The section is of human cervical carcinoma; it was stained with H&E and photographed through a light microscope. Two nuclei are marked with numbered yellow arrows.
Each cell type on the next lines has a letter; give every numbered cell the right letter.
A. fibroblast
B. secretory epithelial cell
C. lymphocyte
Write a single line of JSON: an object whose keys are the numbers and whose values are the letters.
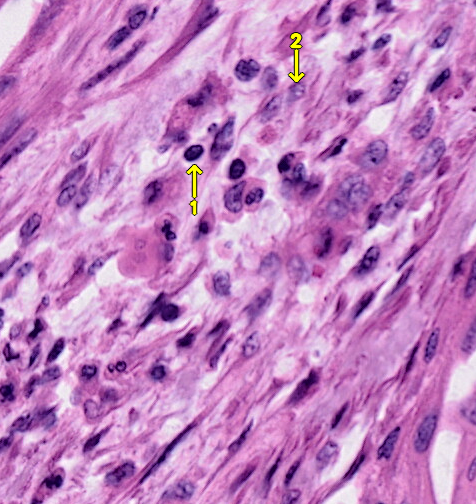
{"1": "C", "2": "A"}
